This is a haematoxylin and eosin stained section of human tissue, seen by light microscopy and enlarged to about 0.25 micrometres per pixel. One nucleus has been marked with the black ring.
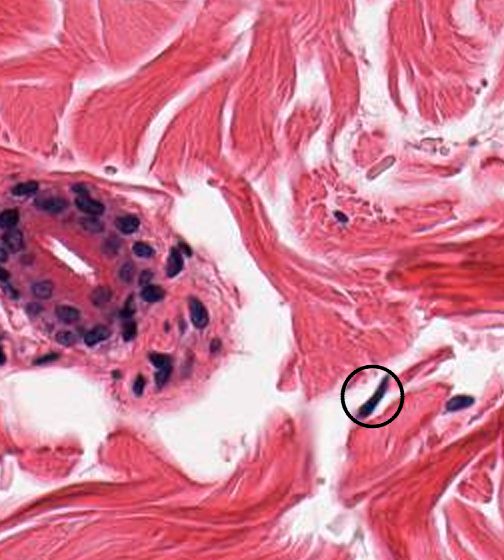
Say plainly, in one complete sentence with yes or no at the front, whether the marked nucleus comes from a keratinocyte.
No, the cell to which the marked nucleus belongs is a supporting cell rather than a keratinocyte.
